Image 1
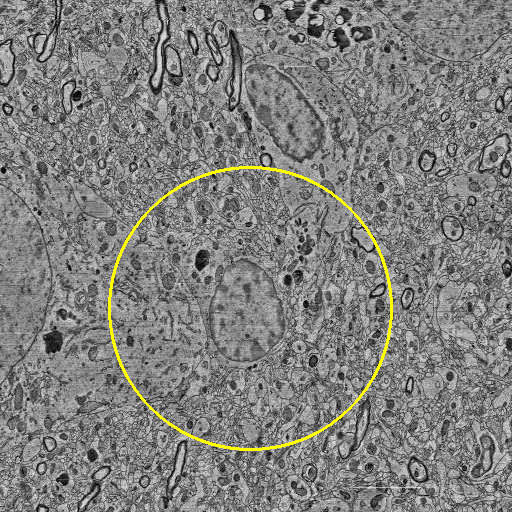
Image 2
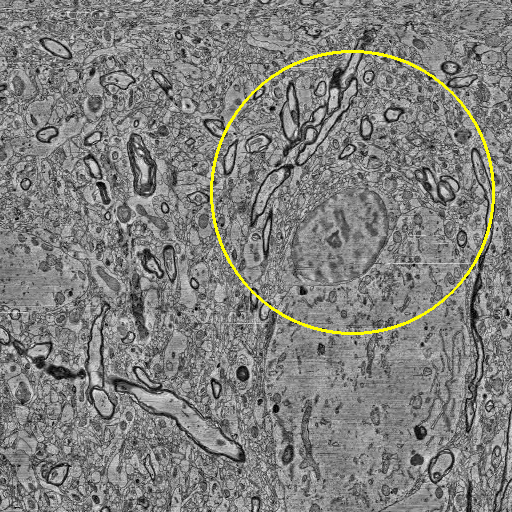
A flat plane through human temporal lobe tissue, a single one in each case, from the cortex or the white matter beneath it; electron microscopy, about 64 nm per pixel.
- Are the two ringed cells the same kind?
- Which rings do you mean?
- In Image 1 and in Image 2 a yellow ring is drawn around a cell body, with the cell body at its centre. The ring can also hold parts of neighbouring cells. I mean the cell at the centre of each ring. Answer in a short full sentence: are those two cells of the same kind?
Yes, both cells are of the same kind.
